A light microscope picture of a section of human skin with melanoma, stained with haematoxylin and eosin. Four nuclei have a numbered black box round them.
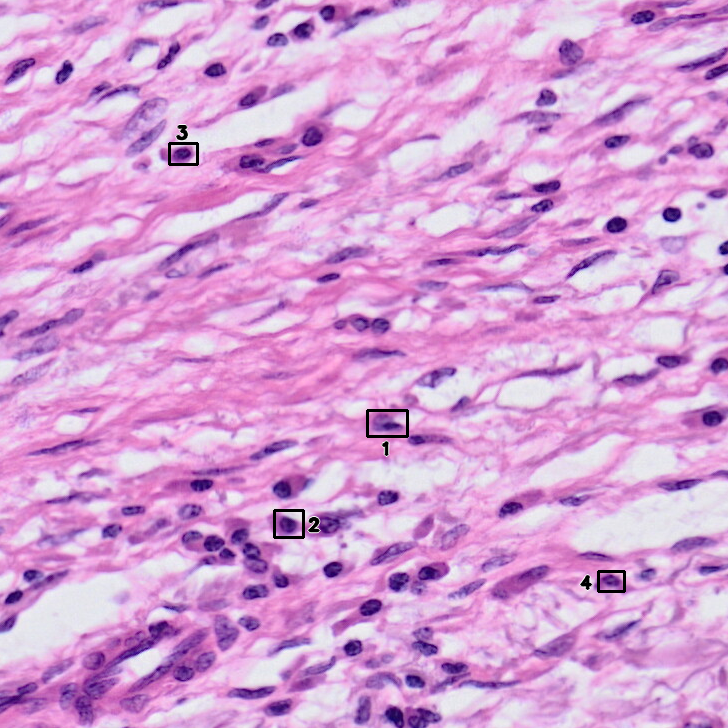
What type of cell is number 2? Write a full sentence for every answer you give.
In the marked set, the cell given number 2 is a plasma cell.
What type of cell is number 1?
Number 1 among the marked cells is a macrophage or monocyte.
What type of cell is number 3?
Cell 3 should be recorded as a plasma cell.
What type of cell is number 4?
Here the cell numbered 4 is a plasma cell.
